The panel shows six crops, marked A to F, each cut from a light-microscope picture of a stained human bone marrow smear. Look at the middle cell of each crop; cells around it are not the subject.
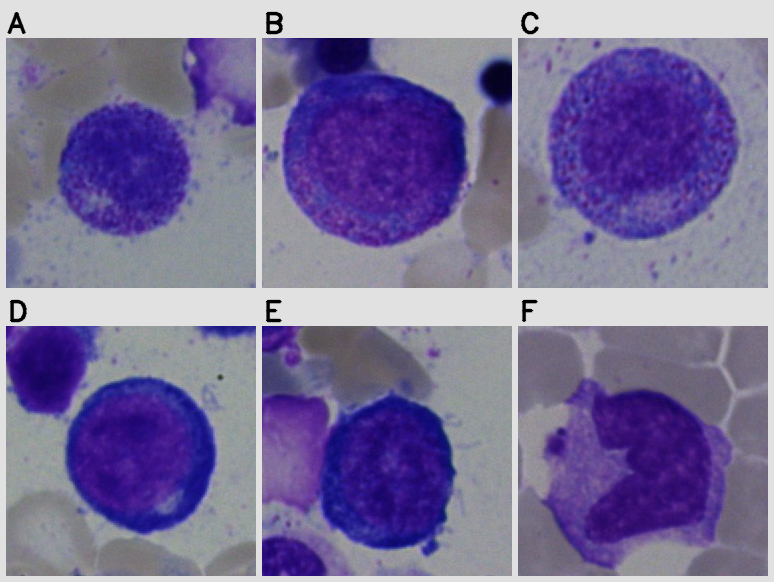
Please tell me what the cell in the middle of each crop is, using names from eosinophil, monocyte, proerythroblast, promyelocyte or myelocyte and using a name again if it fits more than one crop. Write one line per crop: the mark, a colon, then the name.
A: myelocyte
B: promyelocyte
C: promyelocyte
D: proerythroblast
E: proerythroblast
F: monocyte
